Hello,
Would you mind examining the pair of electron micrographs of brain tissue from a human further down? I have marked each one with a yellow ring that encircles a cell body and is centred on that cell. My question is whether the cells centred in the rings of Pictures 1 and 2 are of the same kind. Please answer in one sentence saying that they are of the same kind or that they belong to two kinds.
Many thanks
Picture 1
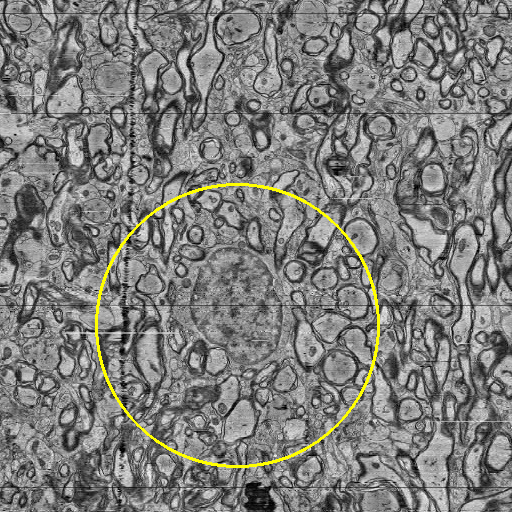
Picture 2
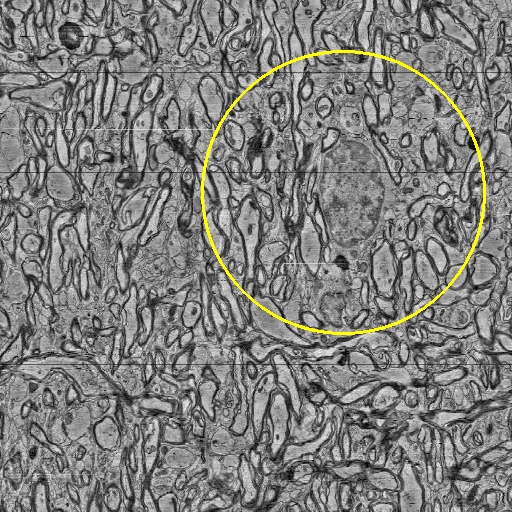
In Pictures 1 and 2, the cells at the heart of the rings are of the same kind.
